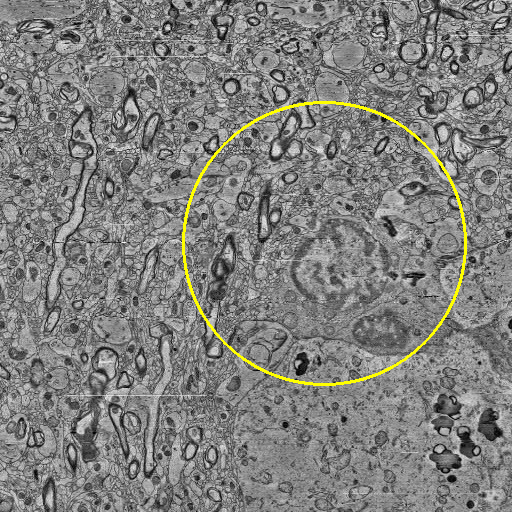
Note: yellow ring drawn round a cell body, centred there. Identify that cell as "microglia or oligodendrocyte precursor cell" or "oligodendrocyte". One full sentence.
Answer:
The cell in the middle of the ring is an oligodendrocyte.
